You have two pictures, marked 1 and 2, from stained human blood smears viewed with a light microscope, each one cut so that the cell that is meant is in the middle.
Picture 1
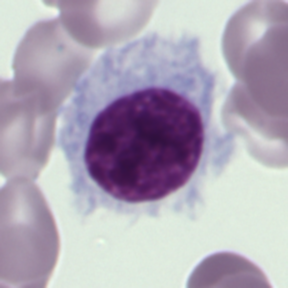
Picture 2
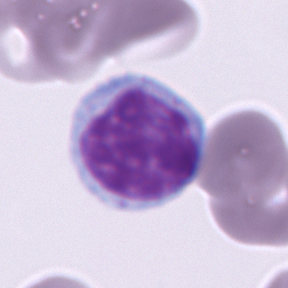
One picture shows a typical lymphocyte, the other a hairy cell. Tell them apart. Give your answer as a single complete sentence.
The cell in picture 1 is a hairy cell, and the one in picture 2 is a typical lymphocyte.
